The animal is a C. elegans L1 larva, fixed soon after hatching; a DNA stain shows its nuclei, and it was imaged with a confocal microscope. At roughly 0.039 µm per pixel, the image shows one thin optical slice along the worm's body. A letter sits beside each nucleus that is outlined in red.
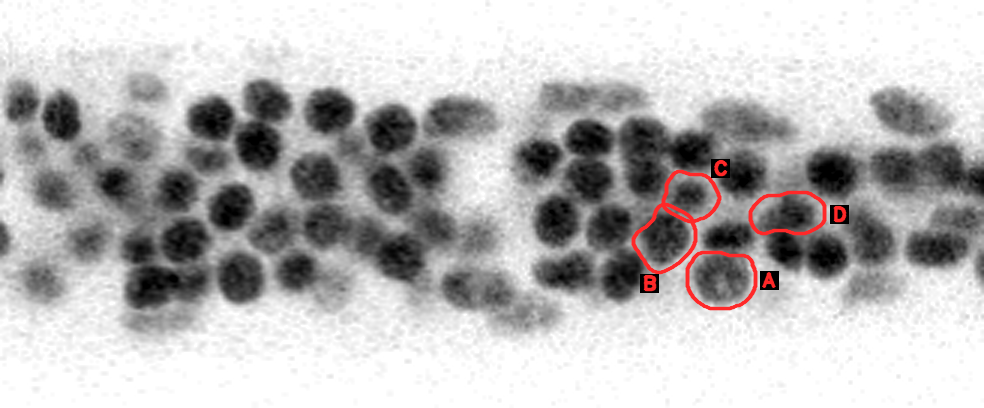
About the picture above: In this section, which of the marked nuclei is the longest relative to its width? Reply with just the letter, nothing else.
D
